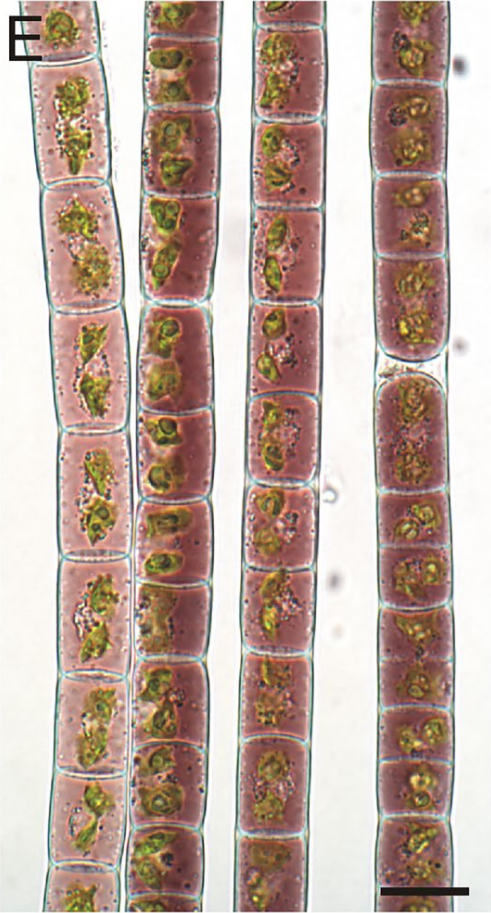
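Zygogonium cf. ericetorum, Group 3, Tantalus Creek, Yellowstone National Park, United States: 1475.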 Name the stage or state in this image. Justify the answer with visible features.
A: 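The cell contents around the green bodies are deep purple-red. Every cell in all filaments shows the purple colour. So: strong purple pigmentation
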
